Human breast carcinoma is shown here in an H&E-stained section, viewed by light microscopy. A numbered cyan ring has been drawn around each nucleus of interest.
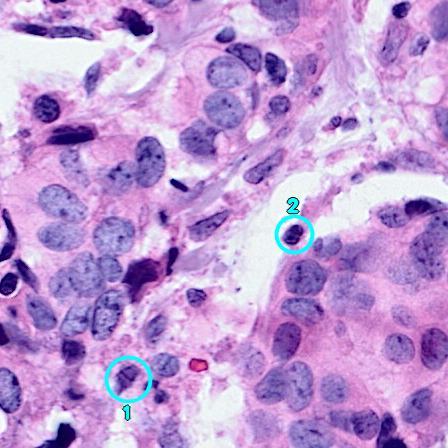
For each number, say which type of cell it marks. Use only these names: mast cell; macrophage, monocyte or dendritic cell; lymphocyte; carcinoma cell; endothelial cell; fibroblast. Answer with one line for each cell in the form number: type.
1: macrophage, monocyte or dendritic cell
2: lymphocyte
